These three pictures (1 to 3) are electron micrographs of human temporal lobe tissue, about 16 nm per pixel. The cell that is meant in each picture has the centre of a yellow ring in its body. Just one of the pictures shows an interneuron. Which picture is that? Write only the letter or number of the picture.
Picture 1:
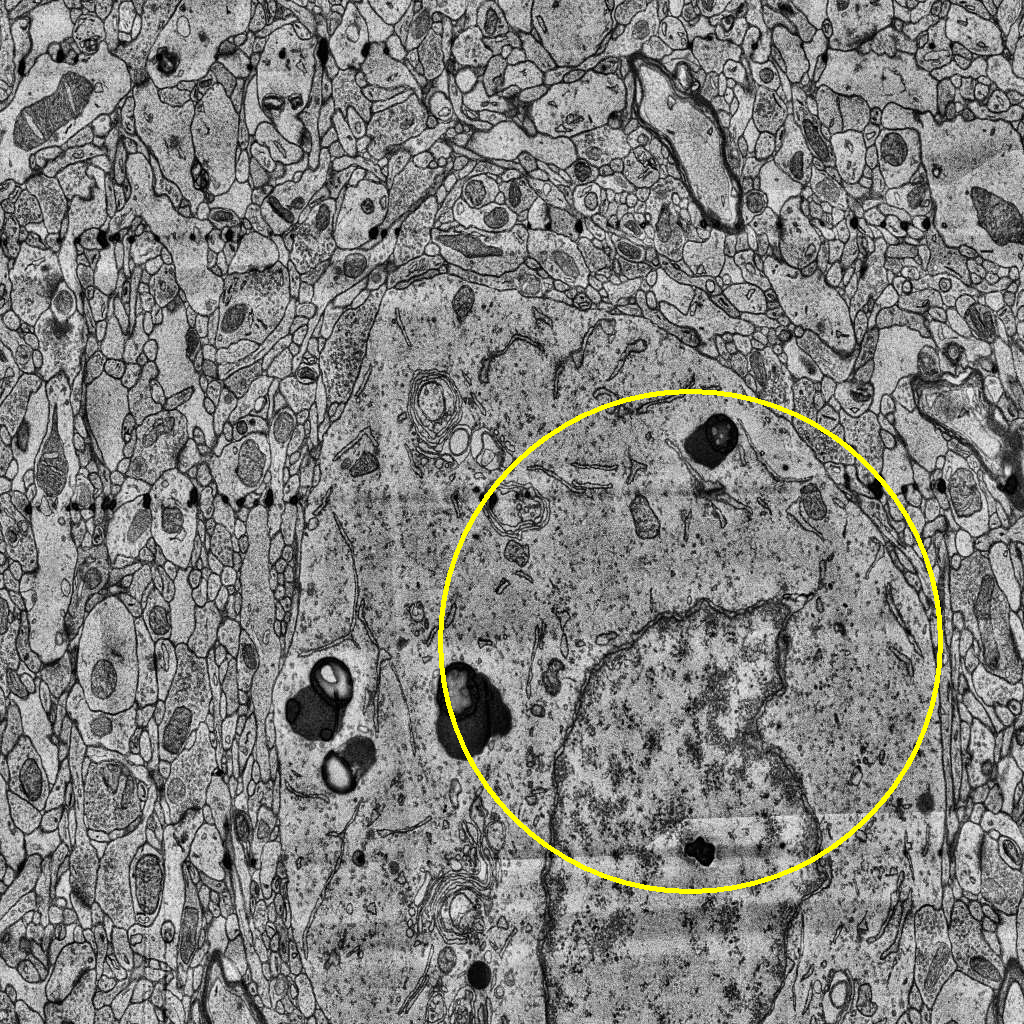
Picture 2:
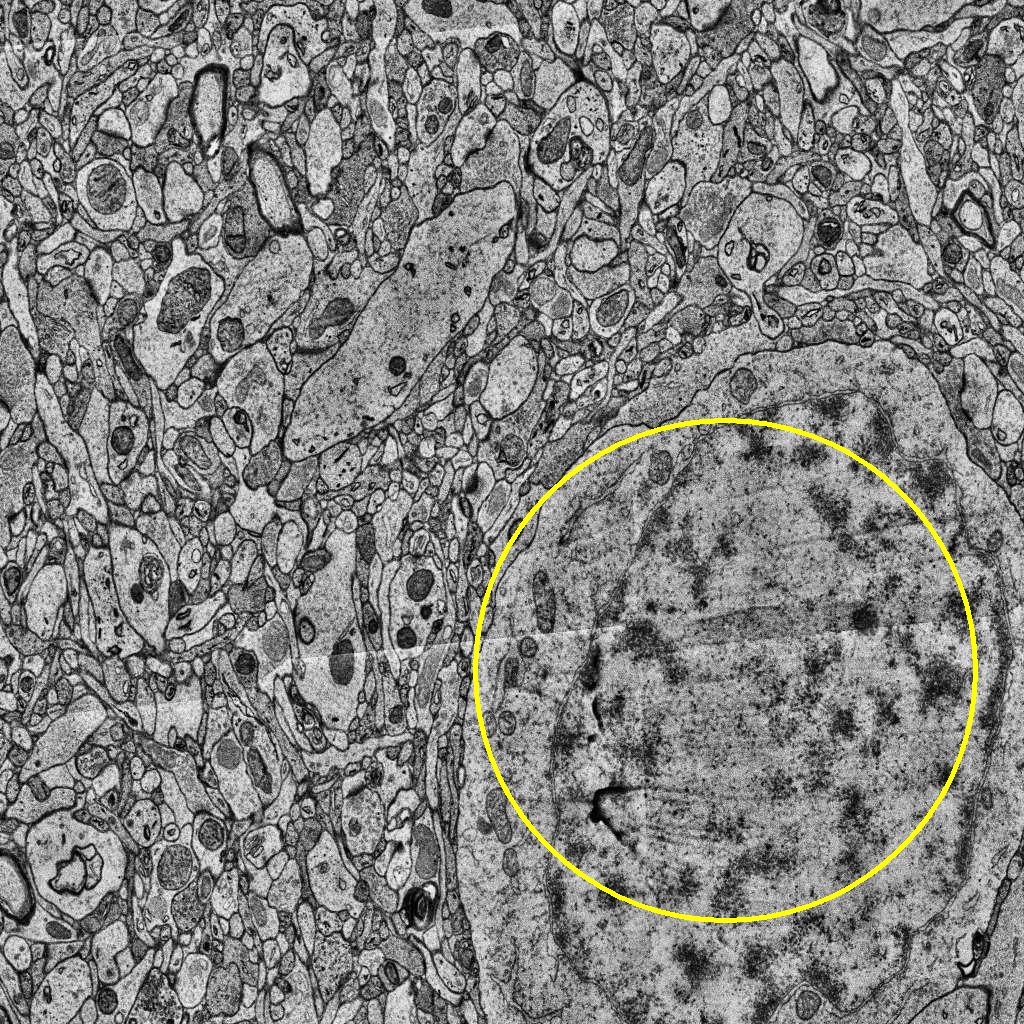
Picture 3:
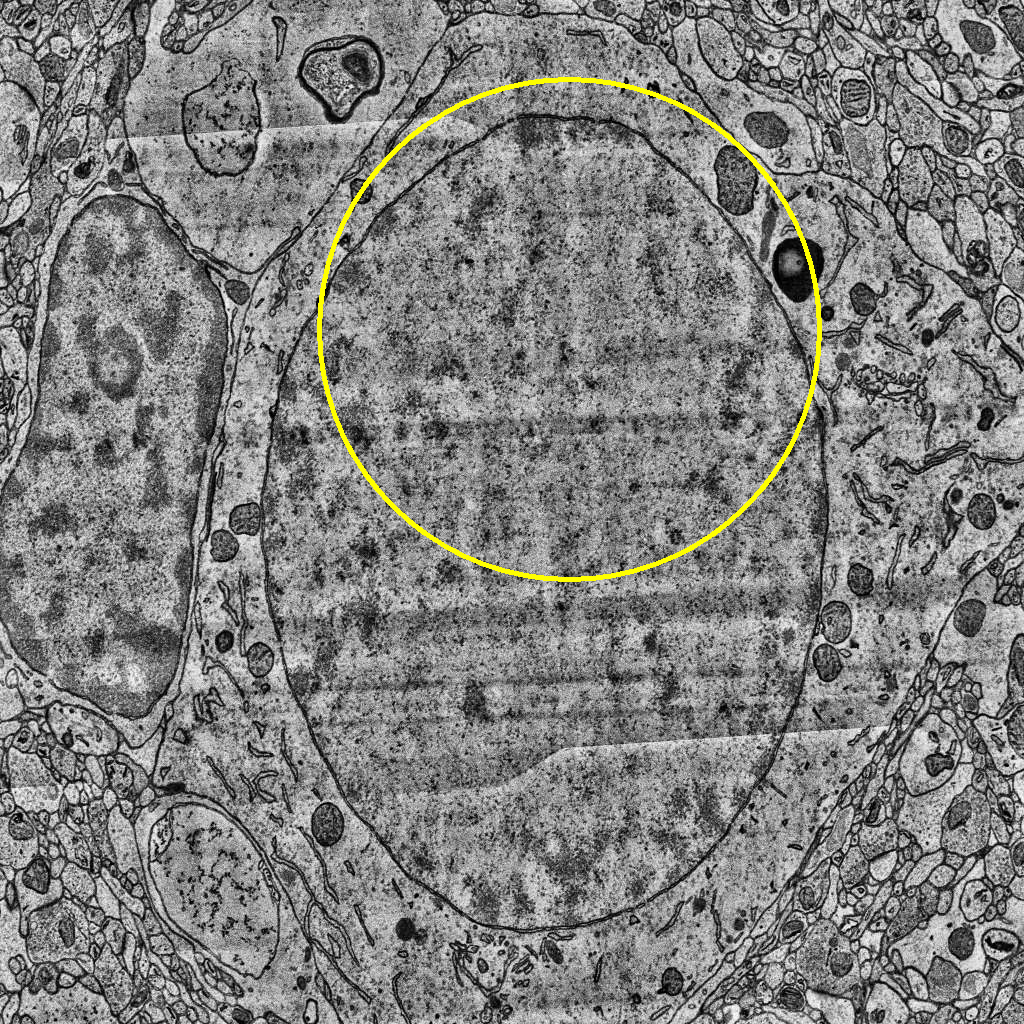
2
